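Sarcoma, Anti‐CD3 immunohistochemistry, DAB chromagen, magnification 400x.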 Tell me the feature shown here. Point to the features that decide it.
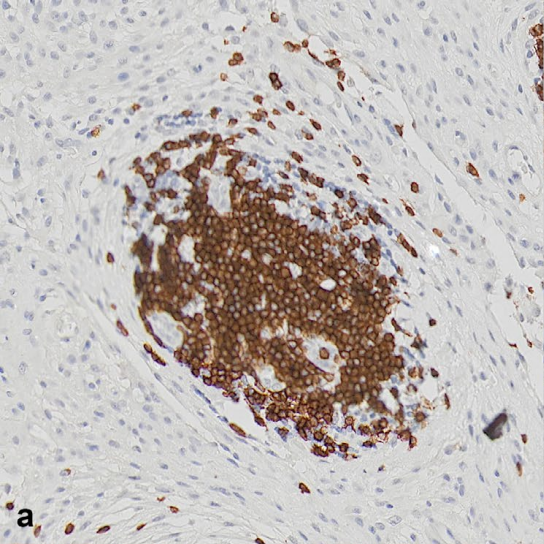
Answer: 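Lymphoid aggregate. A dense, rounded cluster of small round cells with scant cytoplasm lies in the centre. The cluster is surrounded by spindle-shaped cells arranged in concentric layers.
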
